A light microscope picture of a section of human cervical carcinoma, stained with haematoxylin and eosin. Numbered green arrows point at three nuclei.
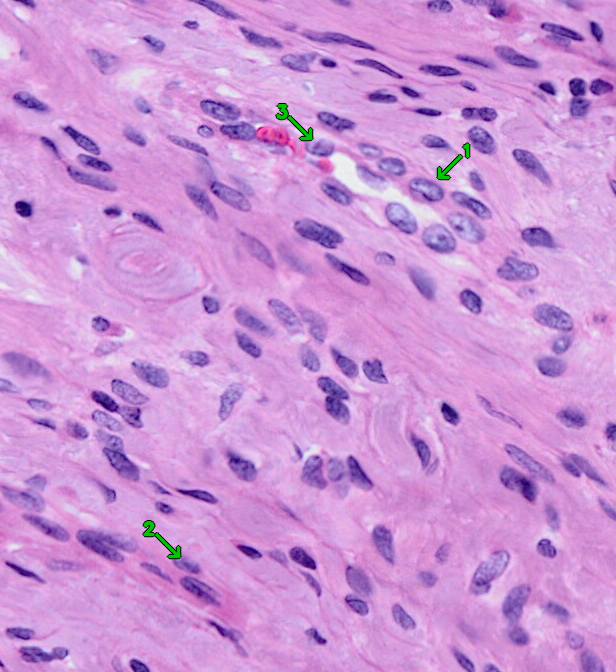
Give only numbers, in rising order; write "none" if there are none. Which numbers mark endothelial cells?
1, 3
